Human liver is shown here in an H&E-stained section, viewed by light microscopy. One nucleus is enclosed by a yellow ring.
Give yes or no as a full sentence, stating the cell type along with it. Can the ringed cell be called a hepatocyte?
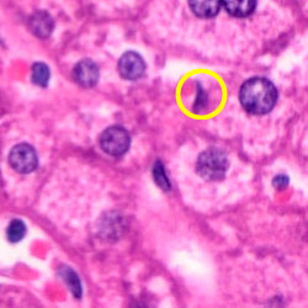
No, rather than being a hepatocyte, the ringed cell is an endothelial cell.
